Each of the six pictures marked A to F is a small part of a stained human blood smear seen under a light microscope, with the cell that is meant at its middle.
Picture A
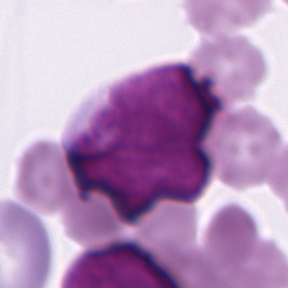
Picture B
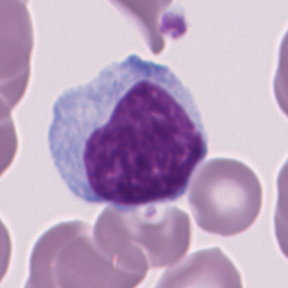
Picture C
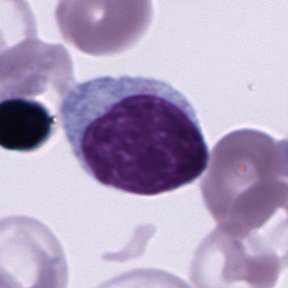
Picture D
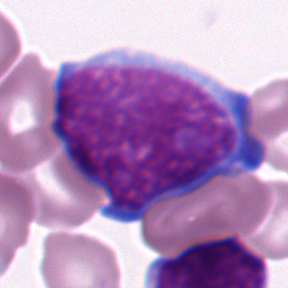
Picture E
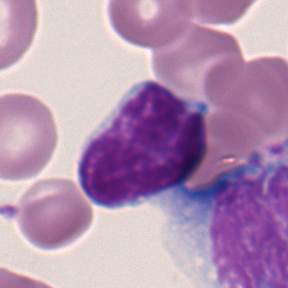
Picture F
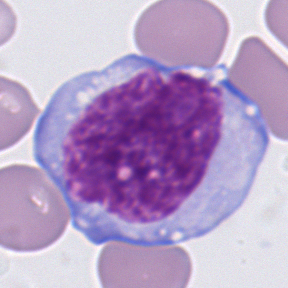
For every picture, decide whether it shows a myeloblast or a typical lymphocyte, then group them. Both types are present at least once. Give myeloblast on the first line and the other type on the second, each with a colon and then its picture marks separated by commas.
myeloblast: A, D, F
typical lymphocyte: B, C, E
